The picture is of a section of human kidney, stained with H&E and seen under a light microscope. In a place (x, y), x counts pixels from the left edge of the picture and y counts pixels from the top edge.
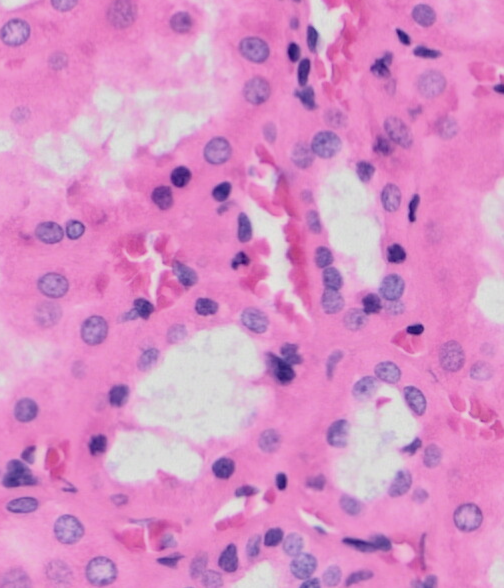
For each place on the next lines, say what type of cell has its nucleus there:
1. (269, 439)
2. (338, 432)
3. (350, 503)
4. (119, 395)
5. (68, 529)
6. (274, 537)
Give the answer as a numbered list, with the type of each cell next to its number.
1. loop of Henle or distal tubule cell
2. loop of Henle or distal tubule cell
3. loop of Henle or distal tubule cell
4. loop of Henle or distal tubule cell
5. proximal tubule cell
6. collecting duct cell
